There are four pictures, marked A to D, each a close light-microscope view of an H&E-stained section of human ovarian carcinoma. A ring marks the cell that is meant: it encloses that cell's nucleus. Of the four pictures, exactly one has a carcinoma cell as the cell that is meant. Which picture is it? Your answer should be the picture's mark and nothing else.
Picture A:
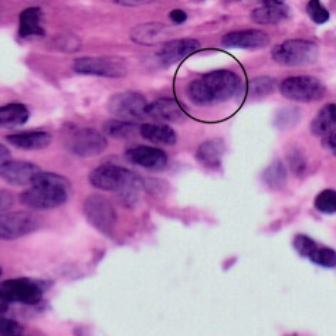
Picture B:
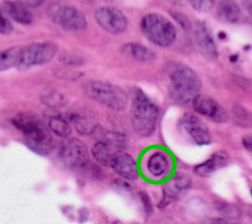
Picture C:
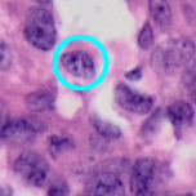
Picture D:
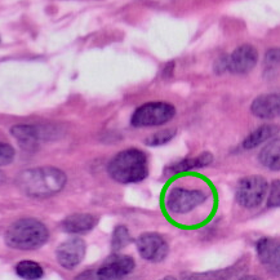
A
